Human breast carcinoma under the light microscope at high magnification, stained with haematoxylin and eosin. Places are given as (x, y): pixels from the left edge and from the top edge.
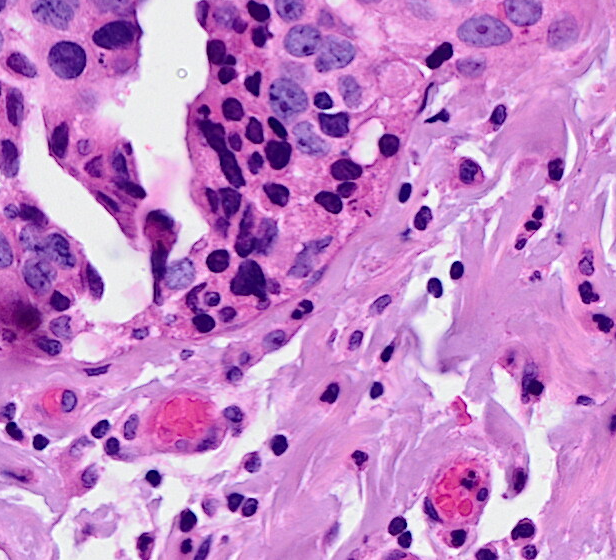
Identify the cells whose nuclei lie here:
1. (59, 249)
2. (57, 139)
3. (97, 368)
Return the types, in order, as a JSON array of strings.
["carcinoma cell", "carcinoma cell", "fibroblast"]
